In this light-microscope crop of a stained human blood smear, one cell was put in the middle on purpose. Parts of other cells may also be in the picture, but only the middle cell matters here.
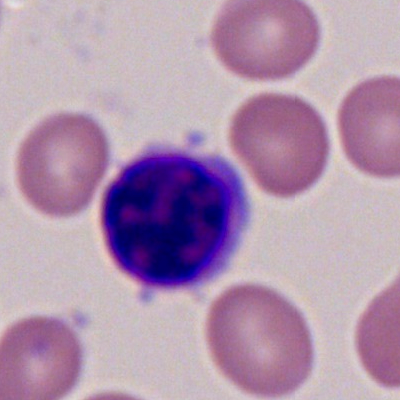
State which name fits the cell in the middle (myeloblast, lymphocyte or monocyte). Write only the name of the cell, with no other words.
lymphocyte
